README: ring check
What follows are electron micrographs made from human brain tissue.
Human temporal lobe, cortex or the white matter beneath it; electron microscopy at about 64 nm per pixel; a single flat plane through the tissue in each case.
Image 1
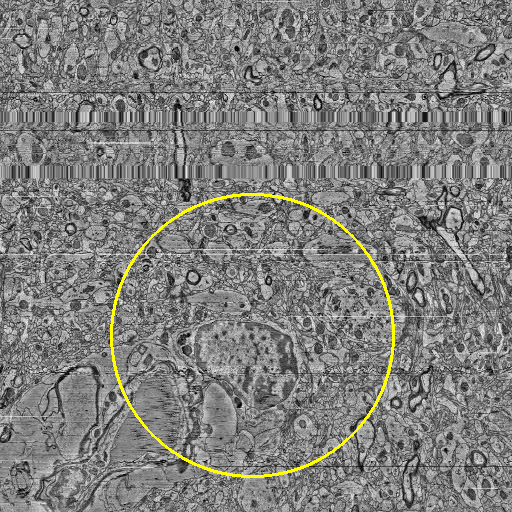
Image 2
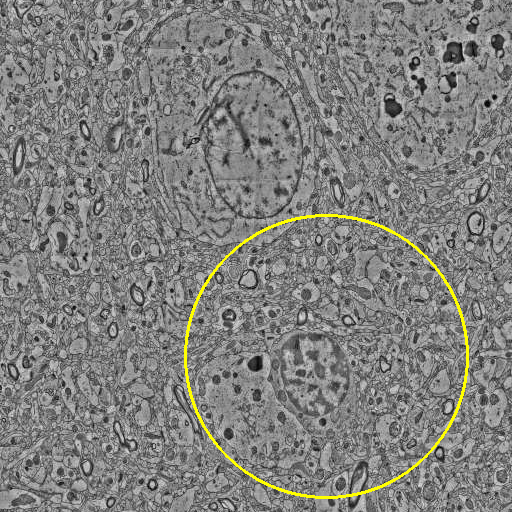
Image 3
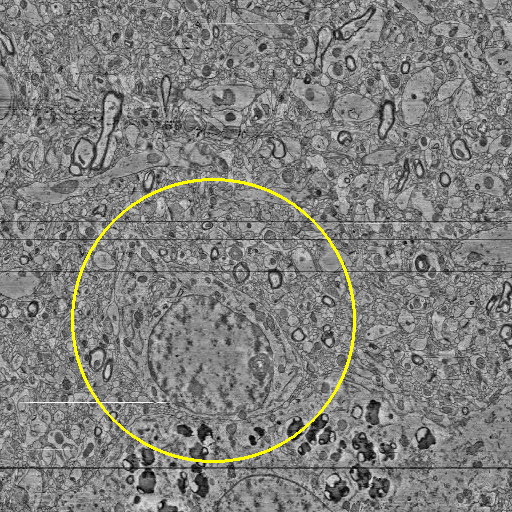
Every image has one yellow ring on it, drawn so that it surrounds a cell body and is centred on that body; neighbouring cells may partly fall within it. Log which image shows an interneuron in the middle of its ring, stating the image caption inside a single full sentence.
Image 3 is where the cell at the ring's centre matches the one asked for.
